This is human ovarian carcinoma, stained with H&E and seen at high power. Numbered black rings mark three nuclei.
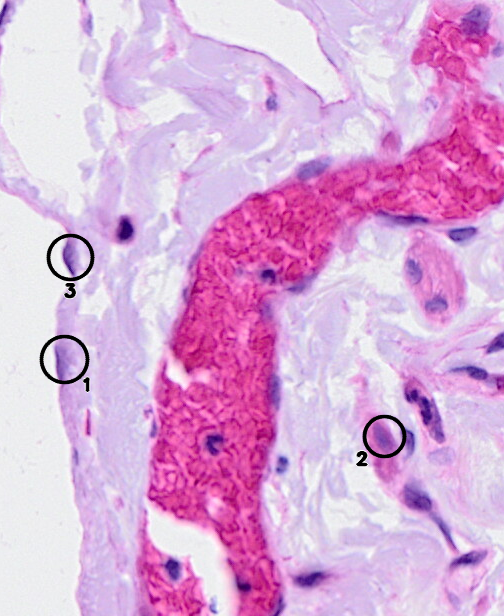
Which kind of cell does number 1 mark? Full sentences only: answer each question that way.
Identified by the number 1, the cell is an endothelial cell.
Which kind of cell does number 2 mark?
The cell numbered 2 has been identified as a smooth muscle cell.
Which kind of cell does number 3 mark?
The cell that bears the number 3 is an endothelial cell.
